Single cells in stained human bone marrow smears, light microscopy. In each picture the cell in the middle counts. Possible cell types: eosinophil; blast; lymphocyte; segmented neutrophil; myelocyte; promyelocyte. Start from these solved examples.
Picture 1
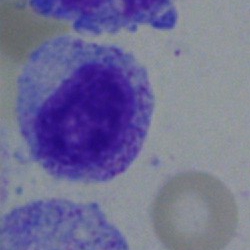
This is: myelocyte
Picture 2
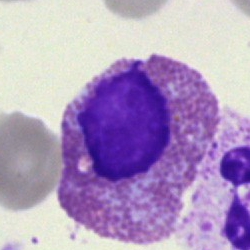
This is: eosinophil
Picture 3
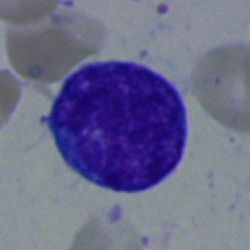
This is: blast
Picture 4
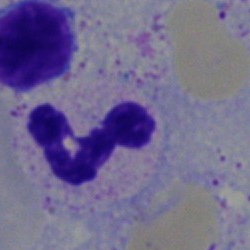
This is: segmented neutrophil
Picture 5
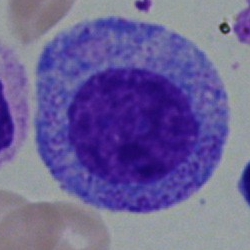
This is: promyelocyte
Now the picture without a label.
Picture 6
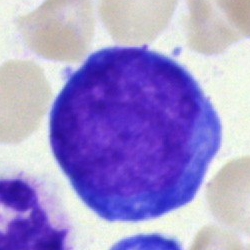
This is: blast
